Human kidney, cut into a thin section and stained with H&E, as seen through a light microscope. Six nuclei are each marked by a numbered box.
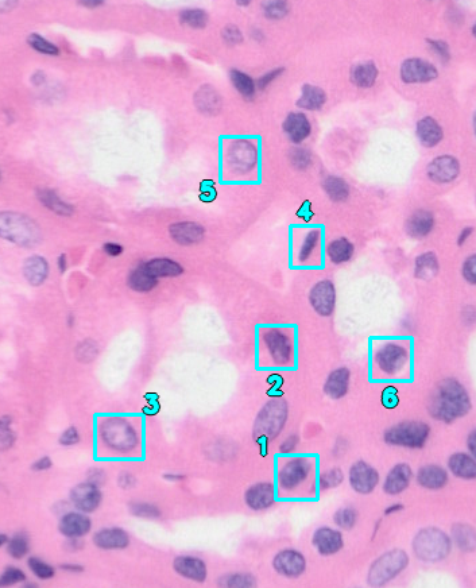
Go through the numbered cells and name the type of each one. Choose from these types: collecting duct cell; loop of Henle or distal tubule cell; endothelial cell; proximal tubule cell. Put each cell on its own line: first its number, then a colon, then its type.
1: collecting duct cell
2: proximal tubule cell
3: proximal tubule cell
4: endothelial cell
5: proximal tubule cell
6: loop of Henle or distal tubule cell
